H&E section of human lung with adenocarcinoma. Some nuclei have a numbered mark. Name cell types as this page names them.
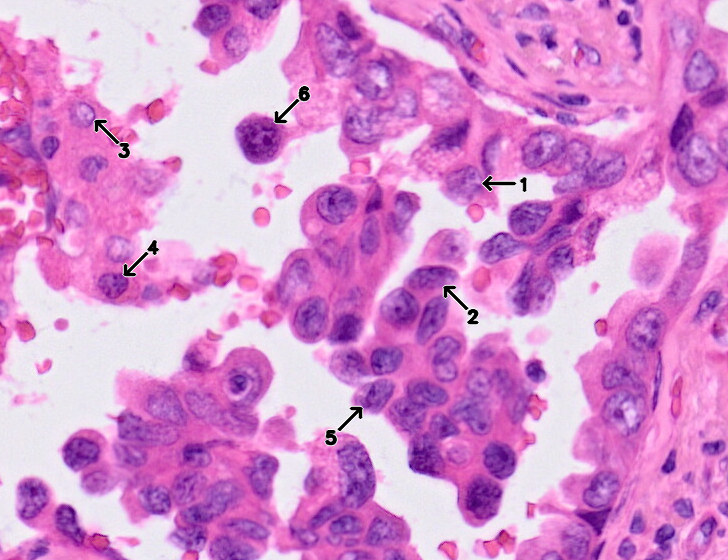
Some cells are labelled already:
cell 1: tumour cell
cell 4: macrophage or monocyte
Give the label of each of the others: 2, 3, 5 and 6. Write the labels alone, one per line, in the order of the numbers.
tumour cell
macrophage or monocyte
tumour cell
tumour cell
